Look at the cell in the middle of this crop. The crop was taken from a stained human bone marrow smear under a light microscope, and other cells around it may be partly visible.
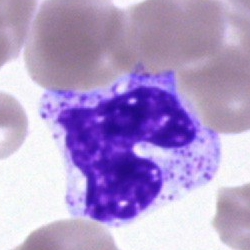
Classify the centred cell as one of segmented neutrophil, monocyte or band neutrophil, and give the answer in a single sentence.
The central cell shown in this smear crop is a band neutrophil.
